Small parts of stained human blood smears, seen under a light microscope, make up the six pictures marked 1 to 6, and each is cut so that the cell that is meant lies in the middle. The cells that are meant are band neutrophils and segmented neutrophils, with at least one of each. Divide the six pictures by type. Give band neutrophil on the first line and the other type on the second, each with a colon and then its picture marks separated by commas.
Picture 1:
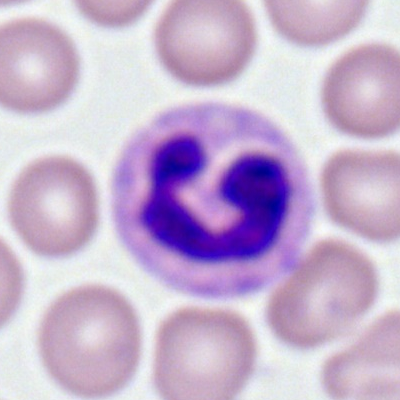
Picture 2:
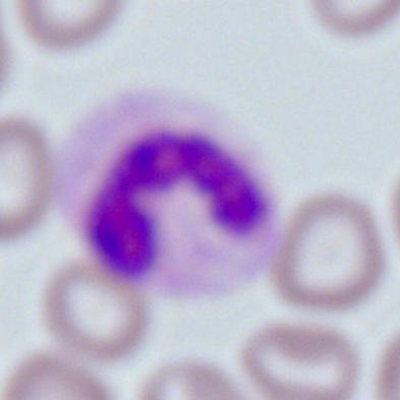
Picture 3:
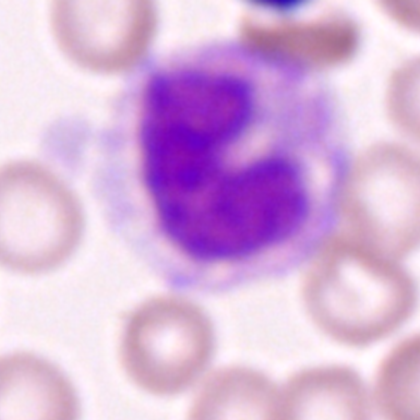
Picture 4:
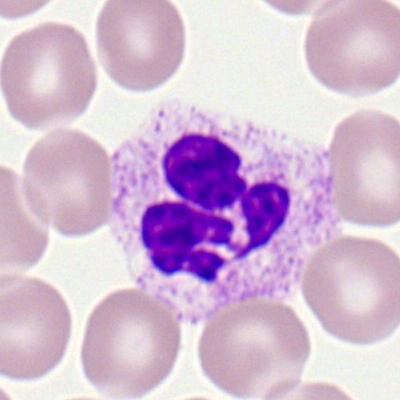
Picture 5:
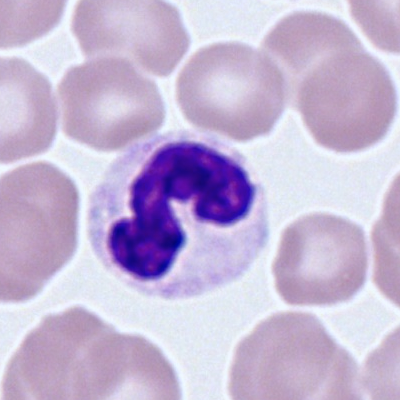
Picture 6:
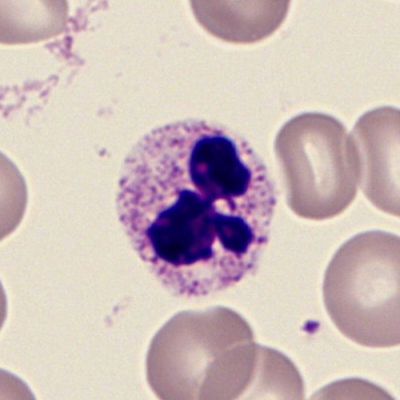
band neutrophil: 2, 3
segmented neutrophil: 1, 4, 5, 6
